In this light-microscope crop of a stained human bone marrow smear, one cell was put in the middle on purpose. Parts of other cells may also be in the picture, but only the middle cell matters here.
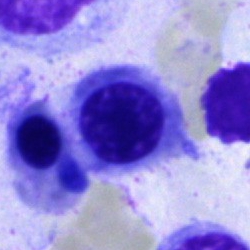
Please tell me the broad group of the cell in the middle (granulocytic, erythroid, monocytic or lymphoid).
erythroid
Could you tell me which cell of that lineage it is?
erythroblast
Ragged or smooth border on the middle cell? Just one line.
No smooth contour is present; the border is ragged or extended into projections.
